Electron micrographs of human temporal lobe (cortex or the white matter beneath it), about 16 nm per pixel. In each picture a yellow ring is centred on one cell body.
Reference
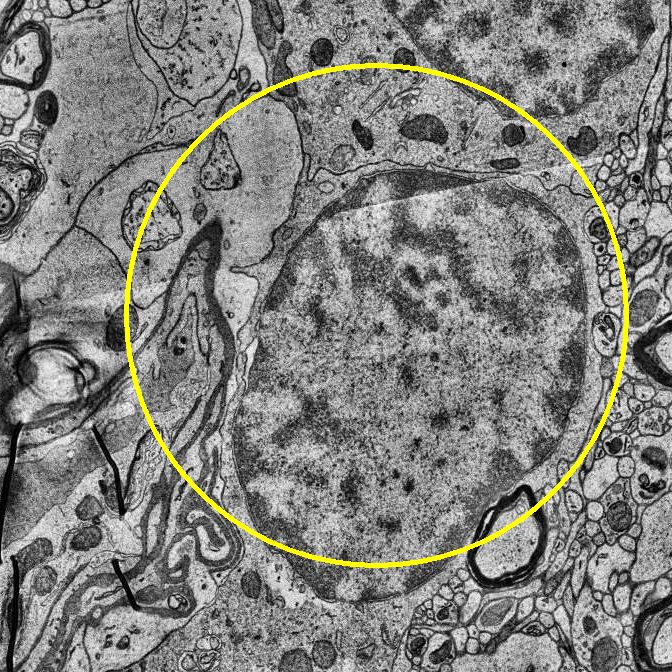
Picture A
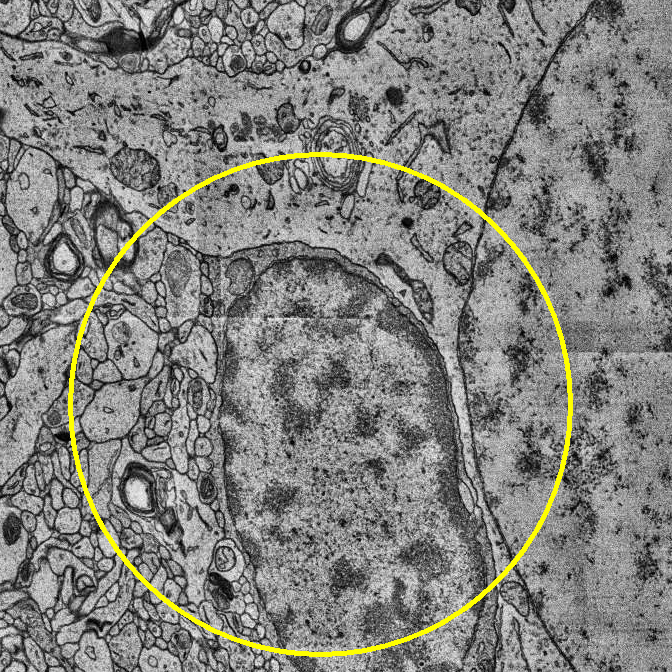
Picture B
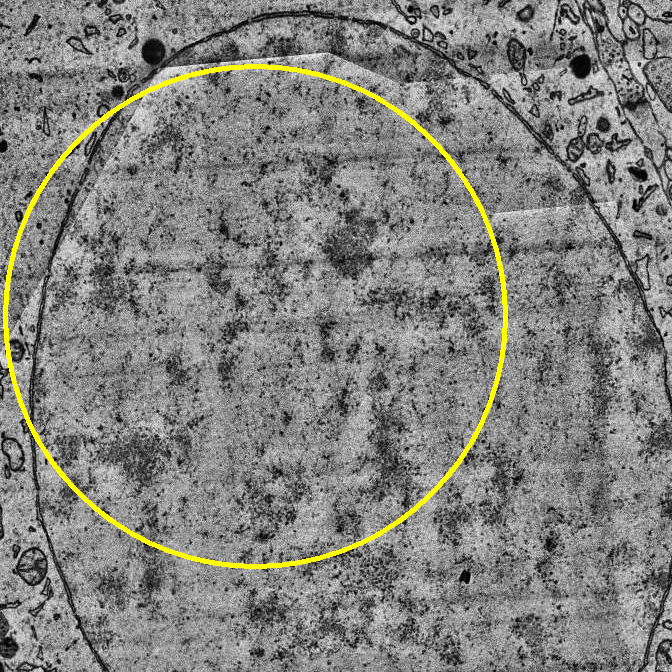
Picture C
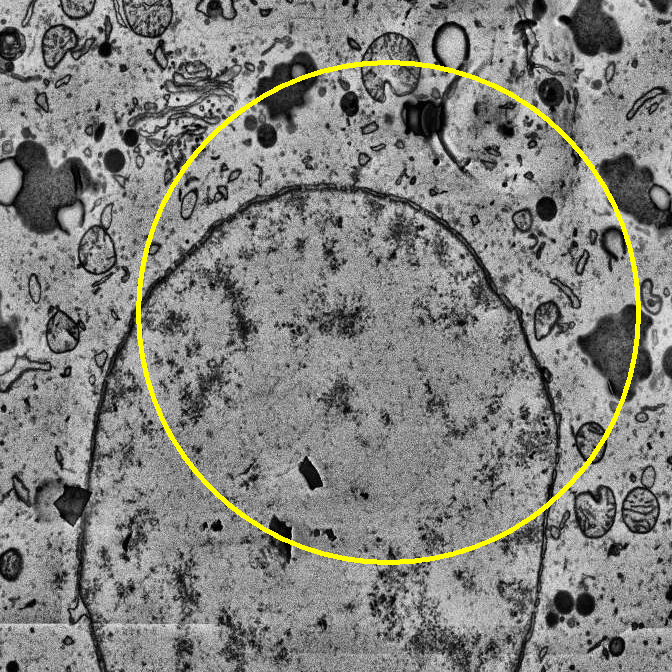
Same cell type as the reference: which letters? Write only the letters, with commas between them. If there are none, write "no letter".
A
